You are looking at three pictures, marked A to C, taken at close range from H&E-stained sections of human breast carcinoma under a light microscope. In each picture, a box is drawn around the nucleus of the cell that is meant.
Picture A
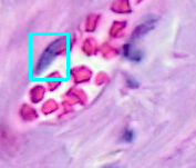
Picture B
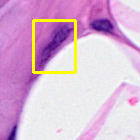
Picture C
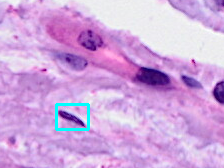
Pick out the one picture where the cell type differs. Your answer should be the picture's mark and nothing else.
A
